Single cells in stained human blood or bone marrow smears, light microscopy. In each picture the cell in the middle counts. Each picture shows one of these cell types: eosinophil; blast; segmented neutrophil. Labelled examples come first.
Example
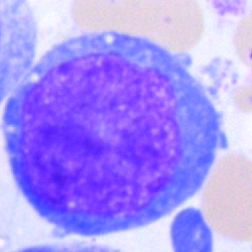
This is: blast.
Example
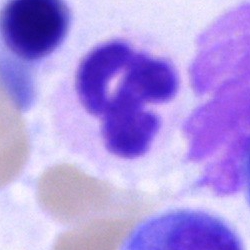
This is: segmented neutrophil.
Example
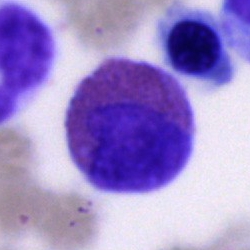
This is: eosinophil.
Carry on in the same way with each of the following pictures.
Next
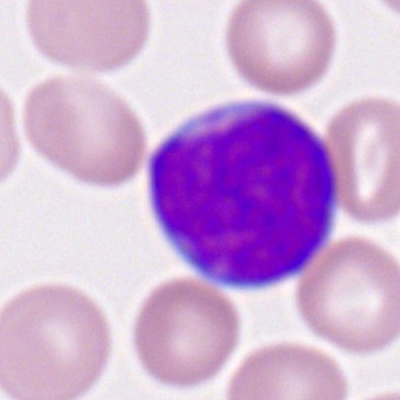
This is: blast.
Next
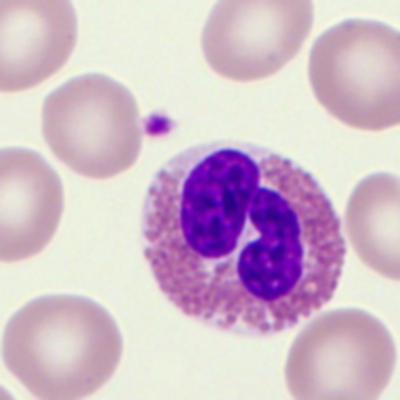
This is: eosinophil.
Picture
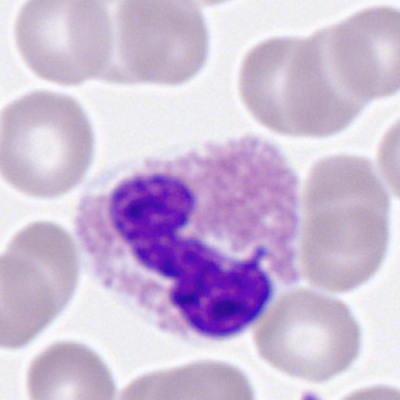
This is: eosinophil.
